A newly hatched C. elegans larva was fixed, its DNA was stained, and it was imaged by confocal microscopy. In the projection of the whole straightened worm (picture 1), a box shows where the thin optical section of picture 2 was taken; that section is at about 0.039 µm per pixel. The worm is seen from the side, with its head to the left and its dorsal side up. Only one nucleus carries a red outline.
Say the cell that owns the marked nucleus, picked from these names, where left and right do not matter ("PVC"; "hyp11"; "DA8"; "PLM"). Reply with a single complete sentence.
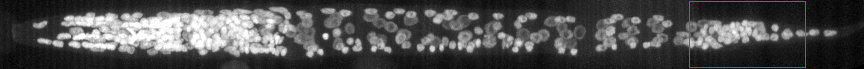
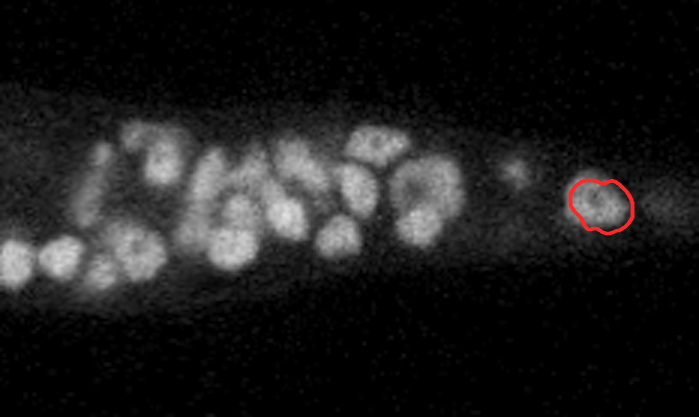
It belongs to hyp11, a hypodermal cell (hyp).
